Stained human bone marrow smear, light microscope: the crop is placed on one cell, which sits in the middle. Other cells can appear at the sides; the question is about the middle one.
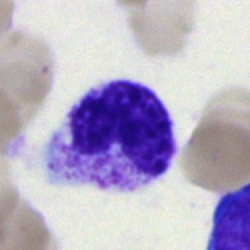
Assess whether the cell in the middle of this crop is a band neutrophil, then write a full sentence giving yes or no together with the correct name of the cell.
Yes, the central cell of this crop corresponds to a band neutrophil.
